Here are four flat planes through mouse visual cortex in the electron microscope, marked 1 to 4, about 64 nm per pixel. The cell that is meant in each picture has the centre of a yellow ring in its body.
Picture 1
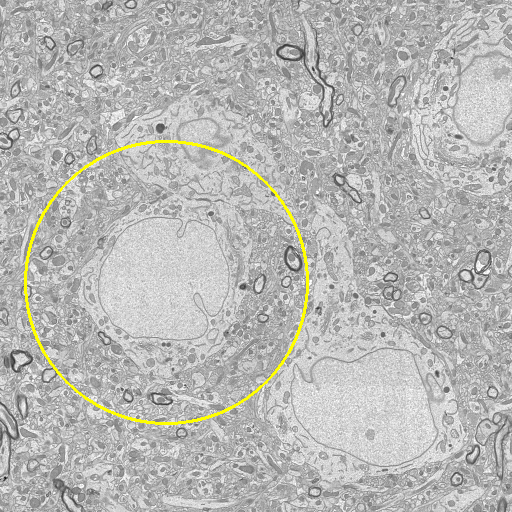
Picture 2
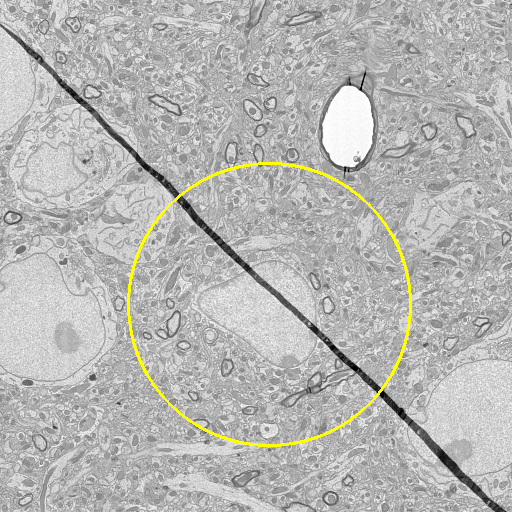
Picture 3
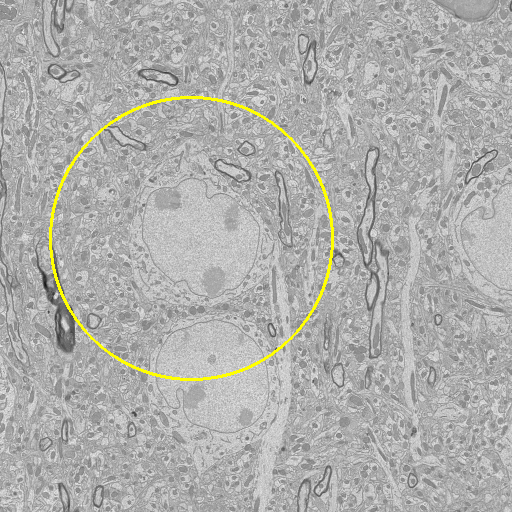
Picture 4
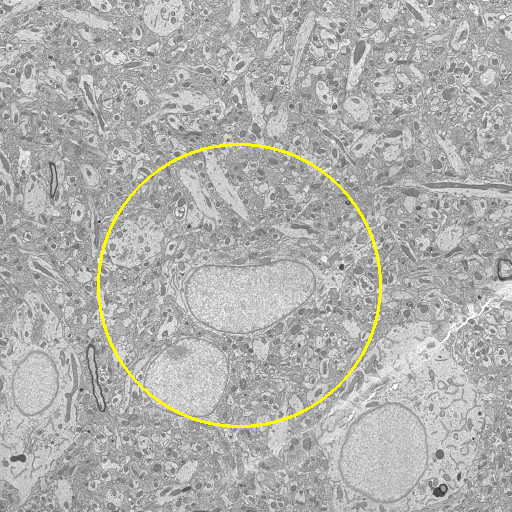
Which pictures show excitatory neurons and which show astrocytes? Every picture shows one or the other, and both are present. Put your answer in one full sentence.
Pictures 1 and 3 show excitatory neurons, while pictures 2 and 4 show astrocytes.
